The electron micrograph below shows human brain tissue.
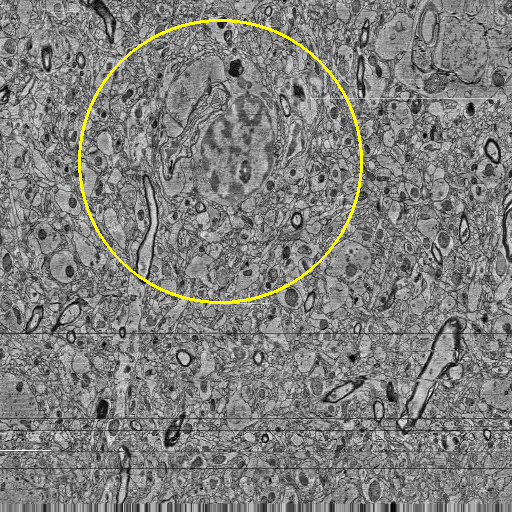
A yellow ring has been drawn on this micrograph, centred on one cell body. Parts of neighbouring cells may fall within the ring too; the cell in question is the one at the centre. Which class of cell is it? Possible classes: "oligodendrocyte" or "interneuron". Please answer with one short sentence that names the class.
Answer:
In the centre of the ring sits an oligodendrocyte.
